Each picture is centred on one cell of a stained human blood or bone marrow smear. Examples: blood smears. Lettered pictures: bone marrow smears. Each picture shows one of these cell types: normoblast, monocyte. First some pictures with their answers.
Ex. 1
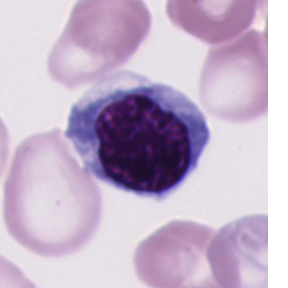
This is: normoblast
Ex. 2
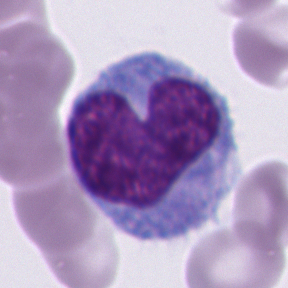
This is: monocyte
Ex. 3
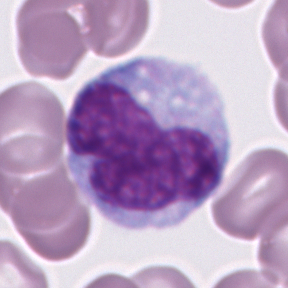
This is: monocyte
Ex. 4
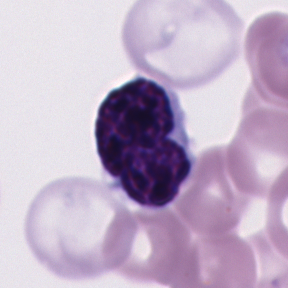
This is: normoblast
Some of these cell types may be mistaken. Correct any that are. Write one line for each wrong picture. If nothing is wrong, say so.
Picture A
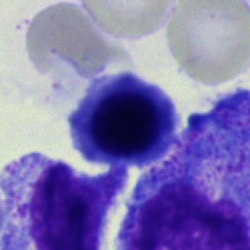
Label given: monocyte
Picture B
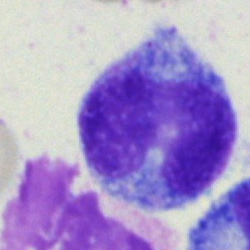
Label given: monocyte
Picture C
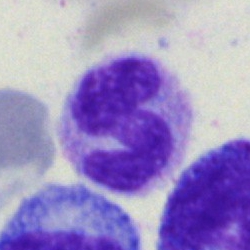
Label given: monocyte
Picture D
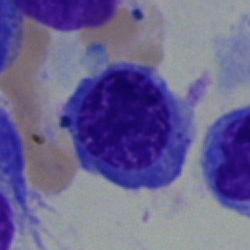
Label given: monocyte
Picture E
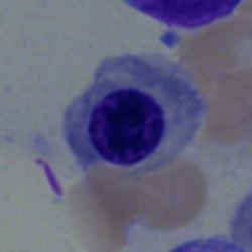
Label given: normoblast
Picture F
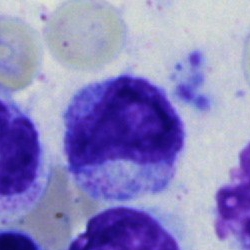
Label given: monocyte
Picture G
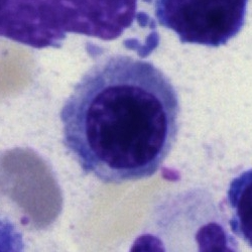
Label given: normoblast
A is labelled monocyte; correct label: normoblast
D is labelled monocyte; correct label: normoblast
